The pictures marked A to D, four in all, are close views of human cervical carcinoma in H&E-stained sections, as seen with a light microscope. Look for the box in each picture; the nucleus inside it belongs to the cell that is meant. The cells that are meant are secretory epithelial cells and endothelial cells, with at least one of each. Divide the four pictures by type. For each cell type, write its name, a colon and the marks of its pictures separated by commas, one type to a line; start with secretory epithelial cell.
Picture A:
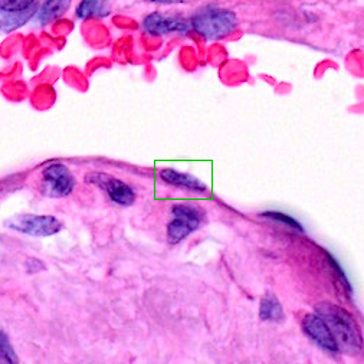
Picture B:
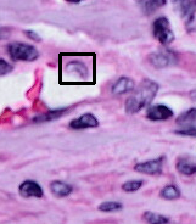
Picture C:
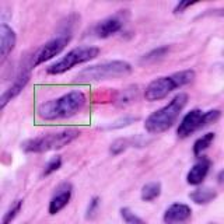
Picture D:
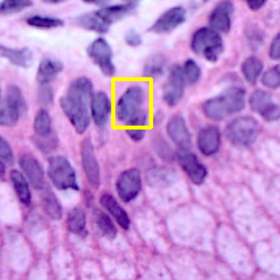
secretory epithelial cell: D
endothelial cell: A, B, C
